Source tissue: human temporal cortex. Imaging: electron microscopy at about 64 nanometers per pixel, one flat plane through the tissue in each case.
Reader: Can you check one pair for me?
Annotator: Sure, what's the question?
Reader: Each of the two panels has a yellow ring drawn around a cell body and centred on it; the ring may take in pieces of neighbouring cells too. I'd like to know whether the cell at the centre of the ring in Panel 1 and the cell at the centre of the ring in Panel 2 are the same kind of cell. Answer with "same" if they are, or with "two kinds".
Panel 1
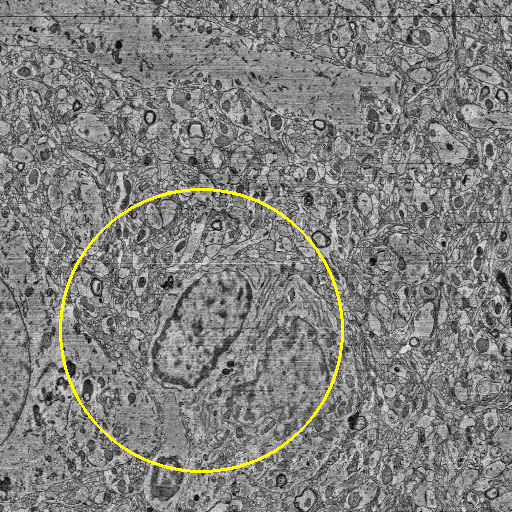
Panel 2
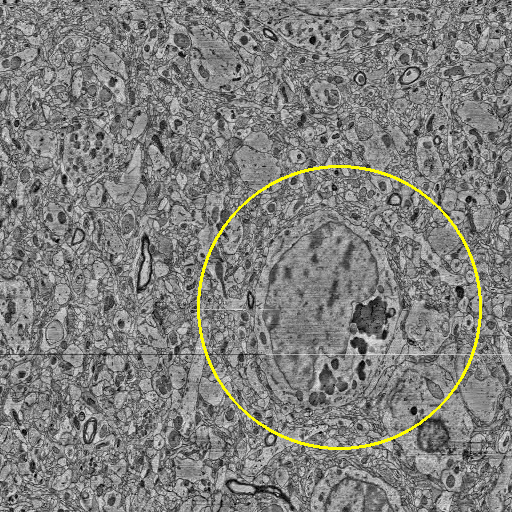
two kinds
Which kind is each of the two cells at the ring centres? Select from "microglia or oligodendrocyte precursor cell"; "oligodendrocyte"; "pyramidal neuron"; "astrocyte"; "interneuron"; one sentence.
The cell at the centre of the ring is a microglial cell or oligodendrocyte precursor cell in the first picture and an interneuron in the second.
